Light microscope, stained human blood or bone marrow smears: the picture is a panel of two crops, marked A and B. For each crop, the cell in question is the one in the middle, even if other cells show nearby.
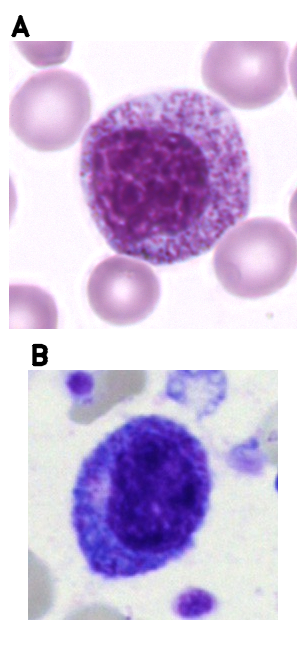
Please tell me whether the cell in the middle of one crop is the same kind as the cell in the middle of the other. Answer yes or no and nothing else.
yes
